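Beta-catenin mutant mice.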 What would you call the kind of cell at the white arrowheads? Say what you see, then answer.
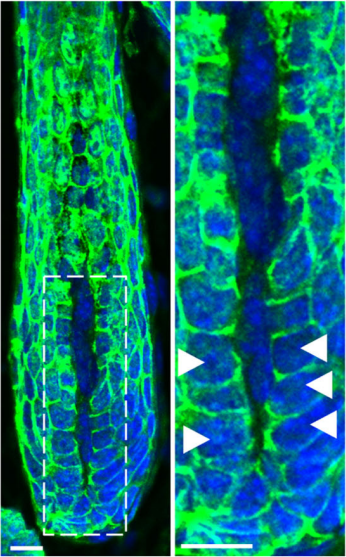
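The arrowheads point to packed epithelial cells on either side of a narrow central column in the follicle bulb. The marked cells have green-outlined membranes around blue nuclei.
Answer: matrix cells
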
